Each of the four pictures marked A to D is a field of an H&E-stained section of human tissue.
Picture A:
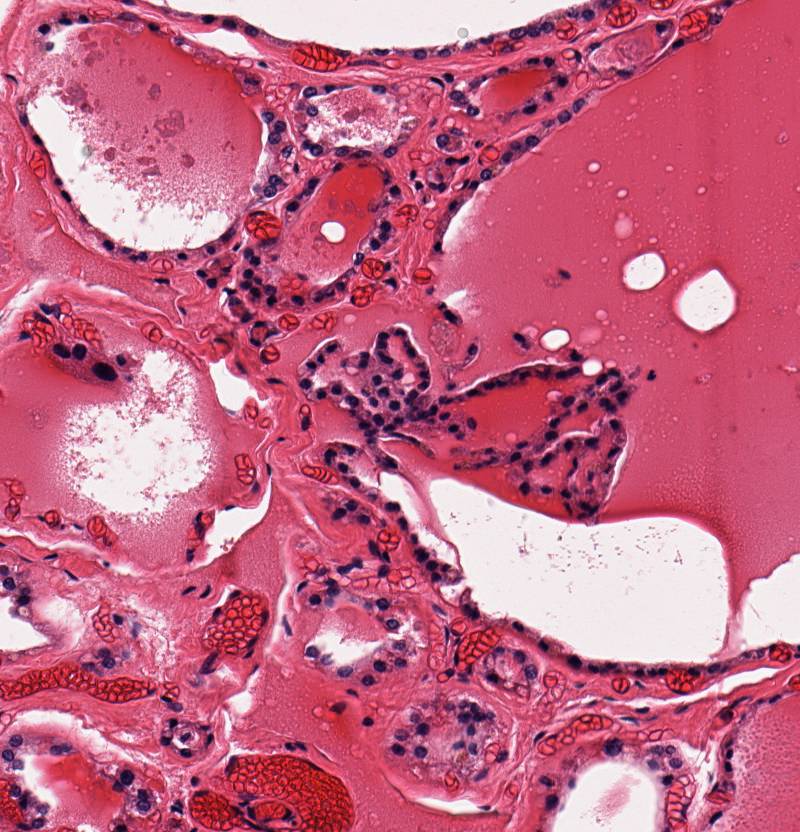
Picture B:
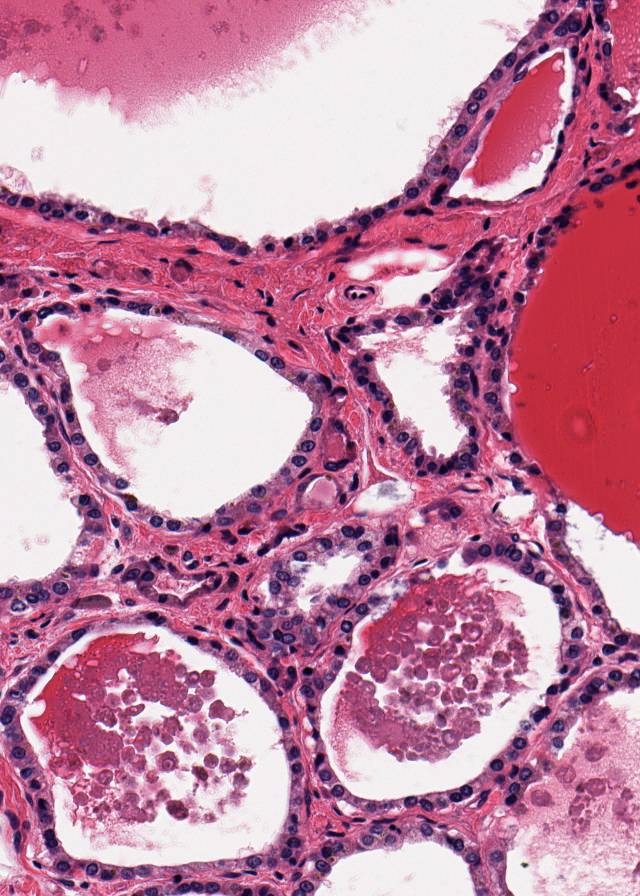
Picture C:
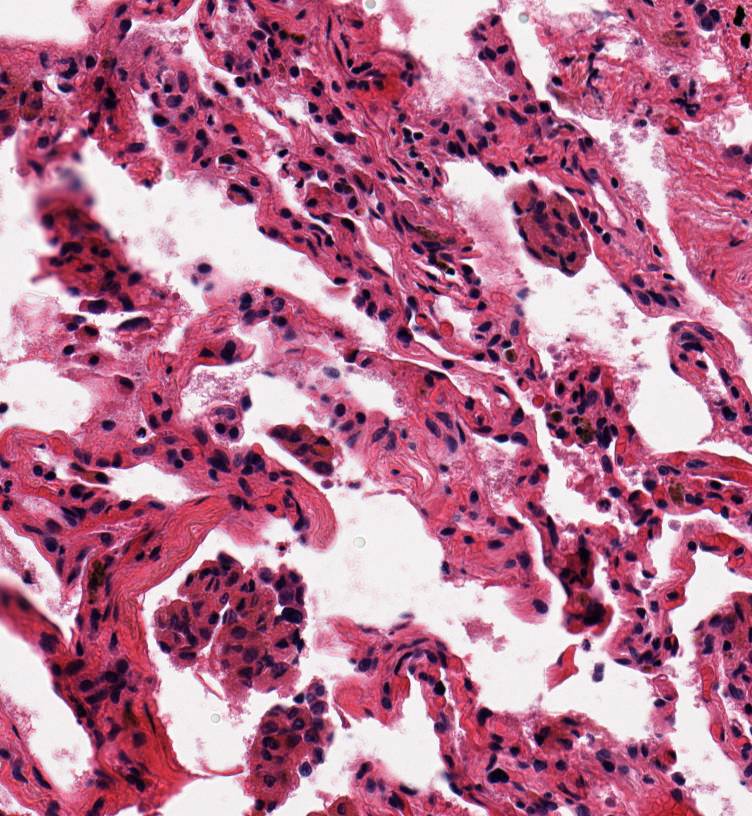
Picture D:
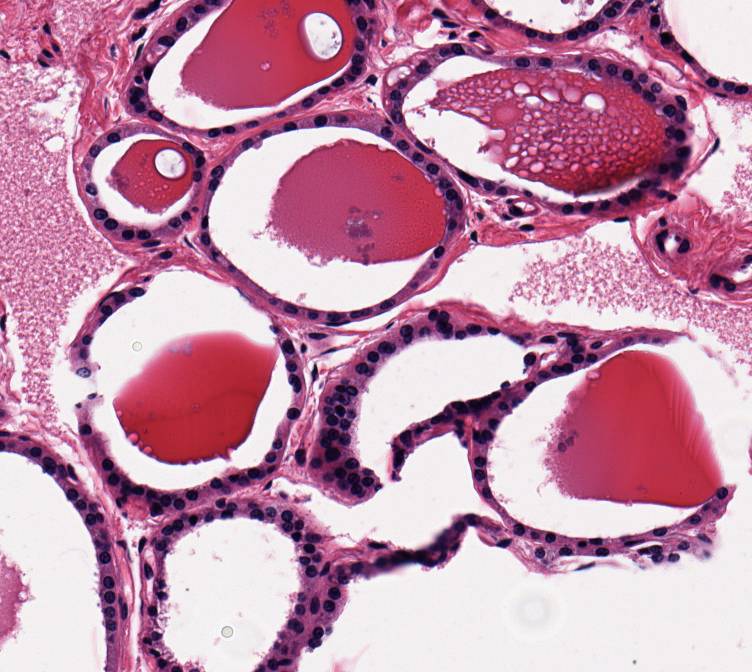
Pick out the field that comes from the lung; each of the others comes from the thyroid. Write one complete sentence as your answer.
Picture C is the field that comes from the lung.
